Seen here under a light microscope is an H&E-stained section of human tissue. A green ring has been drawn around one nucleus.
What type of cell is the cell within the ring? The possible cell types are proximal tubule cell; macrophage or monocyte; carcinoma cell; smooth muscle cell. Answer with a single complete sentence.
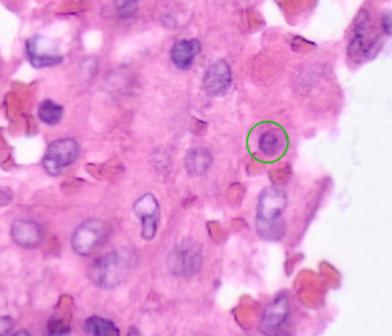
In the tissue at hand, the cell within the ring is a macrophage or monocyte.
